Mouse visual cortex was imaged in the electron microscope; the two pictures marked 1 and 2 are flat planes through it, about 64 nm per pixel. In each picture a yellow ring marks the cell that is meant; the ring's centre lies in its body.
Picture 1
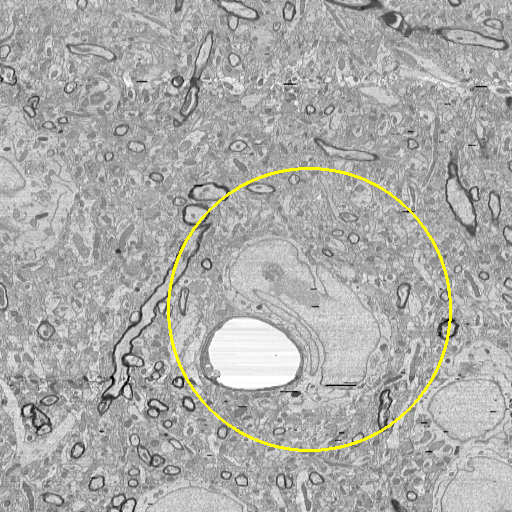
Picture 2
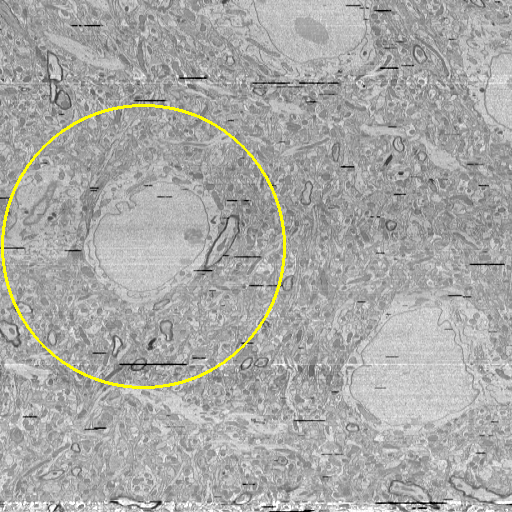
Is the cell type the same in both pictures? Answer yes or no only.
no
